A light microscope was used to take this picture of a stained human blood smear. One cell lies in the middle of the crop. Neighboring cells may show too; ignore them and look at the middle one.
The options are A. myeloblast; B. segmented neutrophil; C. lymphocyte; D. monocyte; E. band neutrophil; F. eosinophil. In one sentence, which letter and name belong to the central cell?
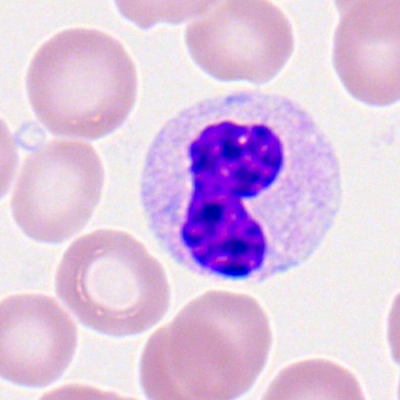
Option E is to be chosen, as the central cell is a band neutrophil.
